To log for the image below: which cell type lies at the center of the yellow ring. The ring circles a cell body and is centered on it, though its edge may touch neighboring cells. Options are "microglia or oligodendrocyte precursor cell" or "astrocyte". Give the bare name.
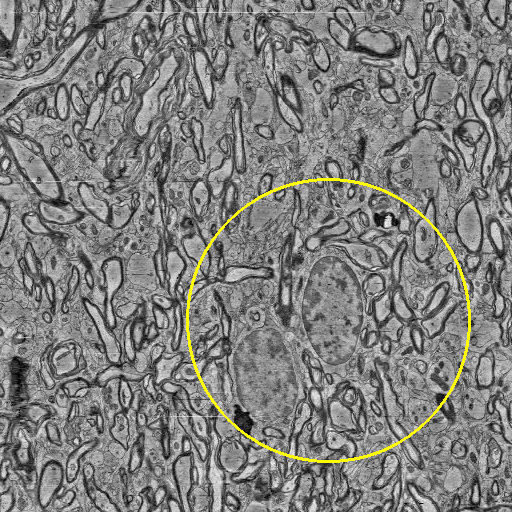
microglia or oligodendrocyte precursor cell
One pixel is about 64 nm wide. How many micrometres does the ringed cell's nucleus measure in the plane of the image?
In this plane, the nucleus of the cell at the centre of the ring measures about 7 by 4 micrometres.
